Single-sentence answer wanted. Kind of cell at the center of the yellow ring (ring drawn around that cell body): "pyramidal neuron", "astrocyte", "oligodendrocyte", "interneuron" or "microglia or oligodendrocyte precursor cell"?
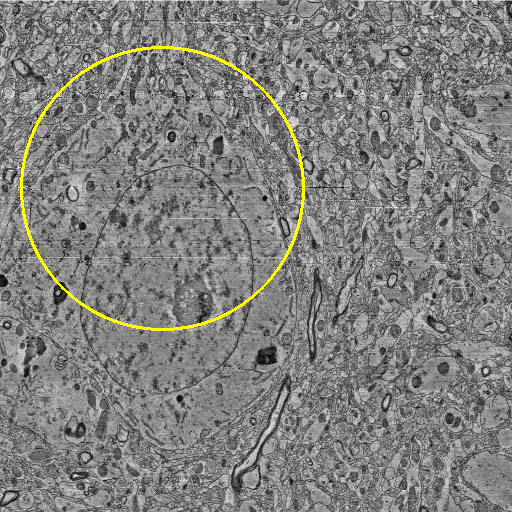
The cell centered in the ring is a pyramidal neuron.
